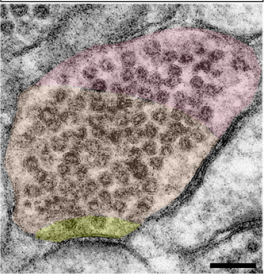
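Here an excitatory synapse is seen by electron microscopy: a large presynaptic bouton densely packed with small, round, clear vesicles. Along its lower border a narrow cleft separates it from the postsynaptic side, where a dark postsynaptic density thickens the membrane. Surrounding neuropil shows other membrane-bound profiles around the terminal.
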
